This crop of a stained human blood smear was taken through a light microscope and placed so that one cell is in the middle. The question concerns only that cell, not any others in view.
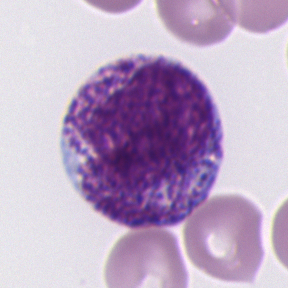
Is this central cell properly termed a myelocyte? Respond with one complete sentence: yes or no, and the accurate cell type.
Yes, that is right: the middle cell is a myelocyte.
